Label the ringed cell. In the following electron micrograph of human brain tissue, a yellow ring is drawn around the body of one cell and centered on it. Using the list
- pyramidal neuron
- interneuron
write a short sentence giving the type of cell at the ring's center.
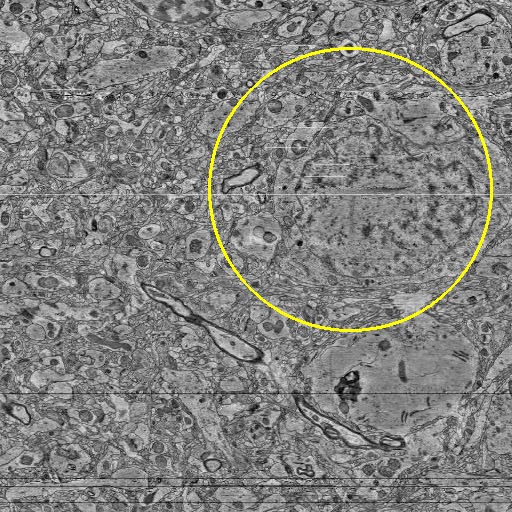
The cell body at the ring's center is that of an interneuron.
